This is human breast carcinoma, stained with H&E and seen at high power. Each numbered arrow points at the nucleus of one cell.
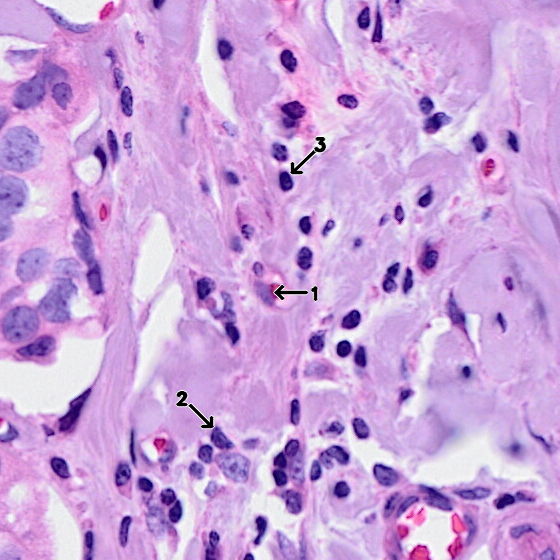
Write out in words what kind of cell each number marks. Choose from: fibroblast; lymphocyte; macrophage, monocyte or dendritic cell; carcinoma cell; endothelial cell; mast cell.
Cell 1 is an endothelial cell, cell 2 is a lymphocyte and cell 3 is a lymphocyte.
